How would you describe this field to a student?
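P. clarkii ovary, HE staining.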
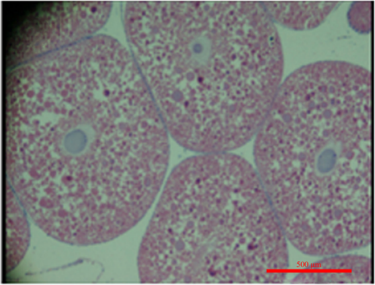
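A single nucleus shows in some cells as a small pale blue-grey round area, small compared with the whole cell. Thin lines mark the boundaries between the oocytes, and pale spaces lie where cells do not meet. Compared with the cell size, the surrounding layer of small cells is barely visible.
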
